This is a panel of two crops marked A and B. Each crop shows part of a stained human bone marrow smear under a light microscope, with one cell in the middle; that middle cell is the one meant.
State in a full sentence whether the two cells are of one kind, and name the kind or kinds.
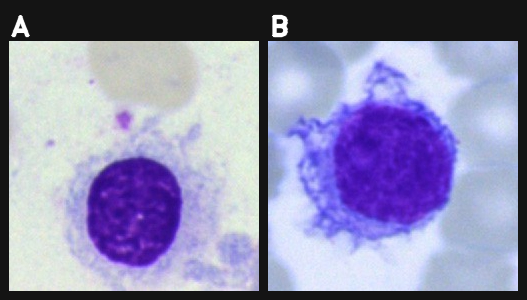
Yes, the cells at the centre of the two crops are both hairy cells.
